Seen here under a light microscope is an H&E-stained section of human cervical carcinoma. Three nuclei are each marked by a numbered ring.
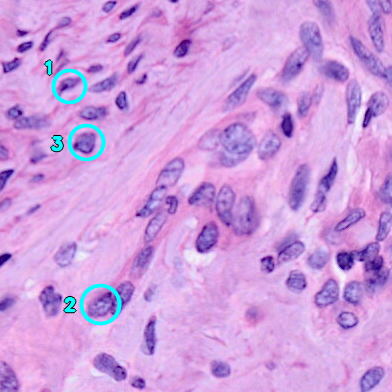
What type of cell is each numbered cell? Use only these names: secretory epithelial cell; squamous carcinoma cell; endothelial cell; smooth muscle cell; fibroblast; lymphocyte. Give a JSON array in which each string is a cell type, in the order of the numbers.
["smooth muscle cell", "endothelial cell", "smooth muscle cell"]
